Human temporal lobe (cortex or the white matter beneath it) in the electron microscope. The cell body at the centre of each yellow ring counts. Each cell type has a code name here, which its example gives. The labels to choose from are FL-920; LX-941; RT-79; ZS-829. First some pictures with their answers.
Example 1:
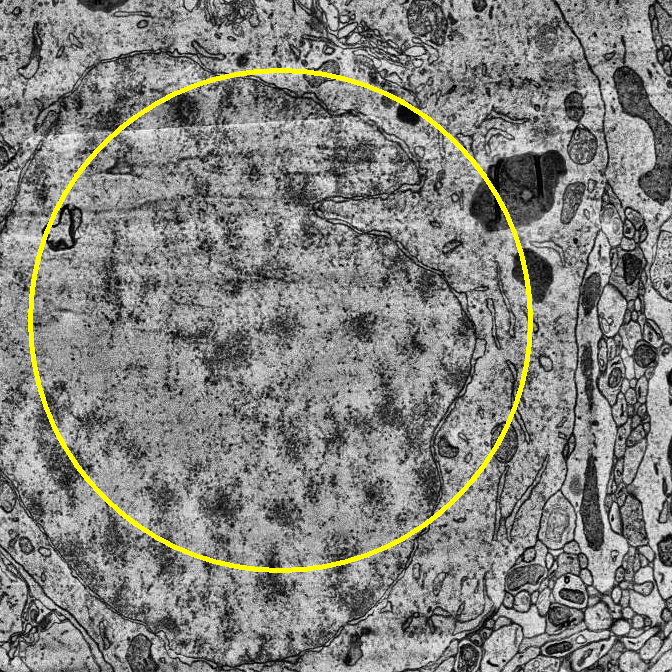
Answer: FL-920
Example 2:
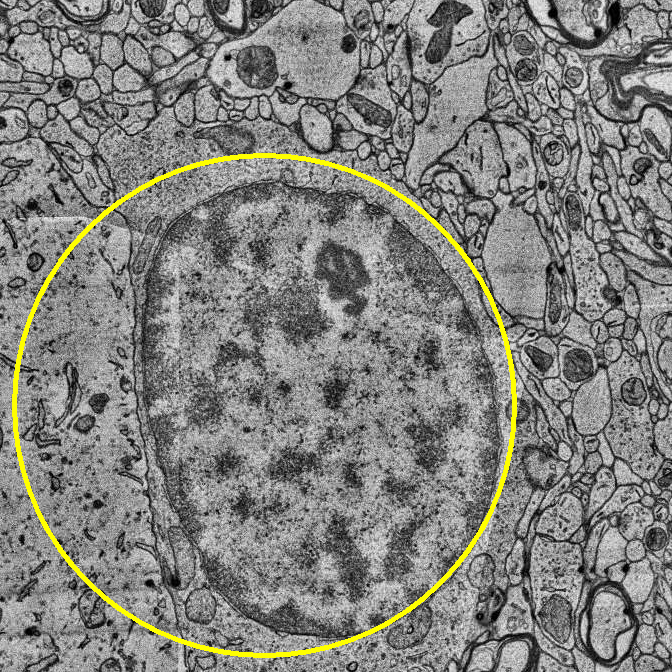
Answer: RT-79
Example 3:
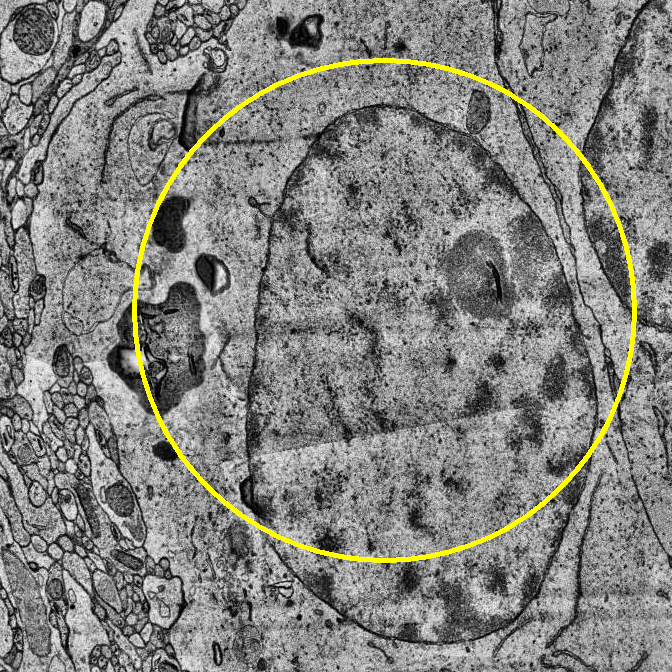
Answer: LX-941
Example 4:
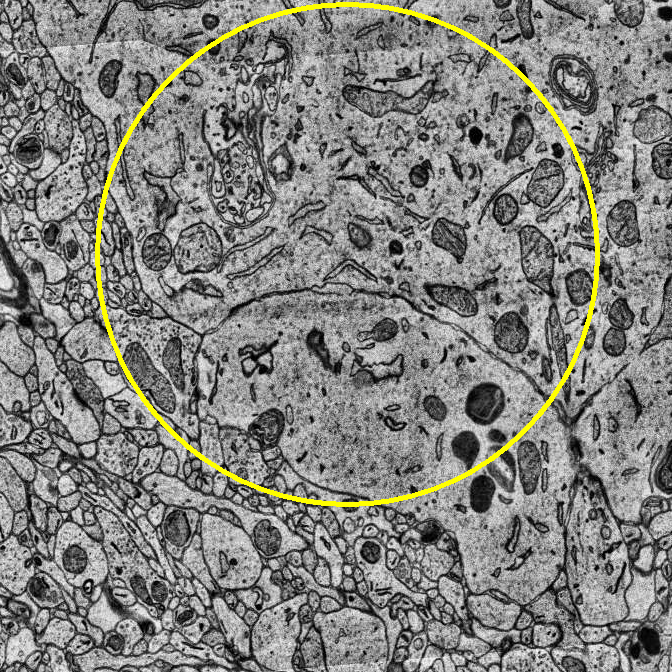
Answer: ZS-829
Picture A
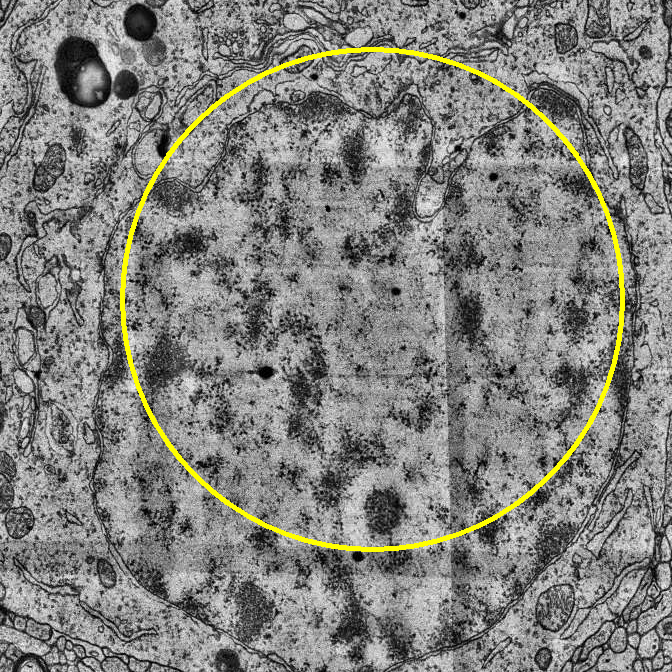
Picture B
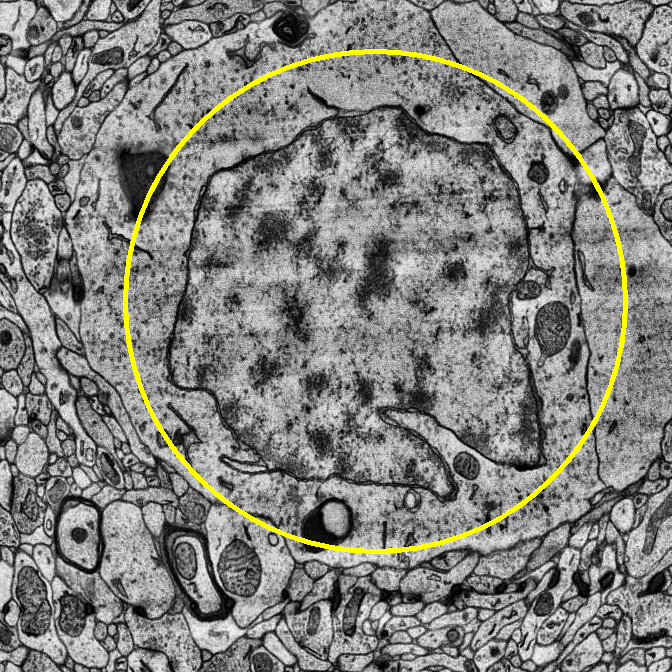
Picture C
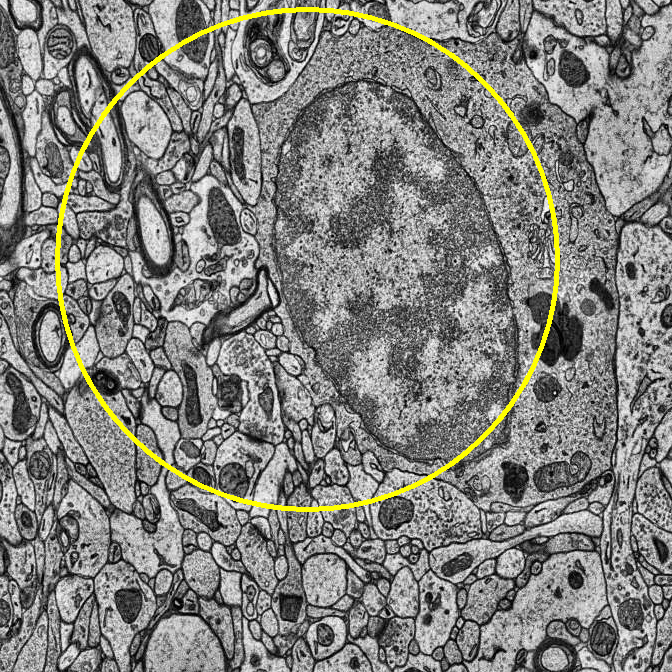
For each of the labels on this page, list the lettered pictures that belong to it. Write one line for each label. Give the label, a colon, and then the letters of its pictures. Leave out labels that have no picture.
FL-920: A, B
RT-79: C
